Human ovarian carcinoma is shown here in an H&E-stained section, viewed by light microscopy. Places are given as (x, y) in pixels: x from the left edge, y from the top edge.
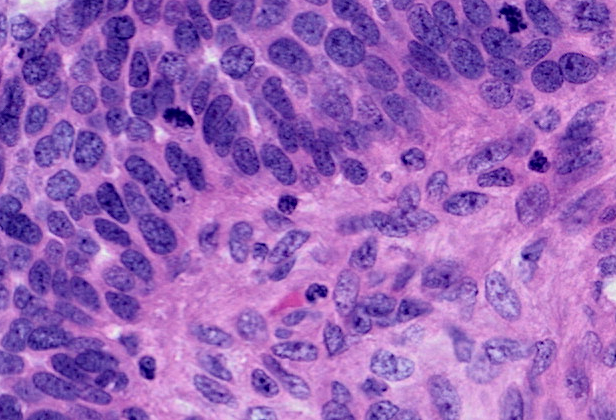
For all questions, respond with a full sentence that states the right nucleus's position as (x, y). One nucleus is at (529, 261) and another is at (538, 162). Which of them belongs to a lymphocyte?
Between the two nuclei, the one sitting at (538, 162) belongs to a lymphocyte.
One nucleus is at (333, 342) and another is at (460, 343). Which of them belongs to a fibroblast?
As for which of the two, the nucleus at (460, 343) belongs to a fibroblast.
